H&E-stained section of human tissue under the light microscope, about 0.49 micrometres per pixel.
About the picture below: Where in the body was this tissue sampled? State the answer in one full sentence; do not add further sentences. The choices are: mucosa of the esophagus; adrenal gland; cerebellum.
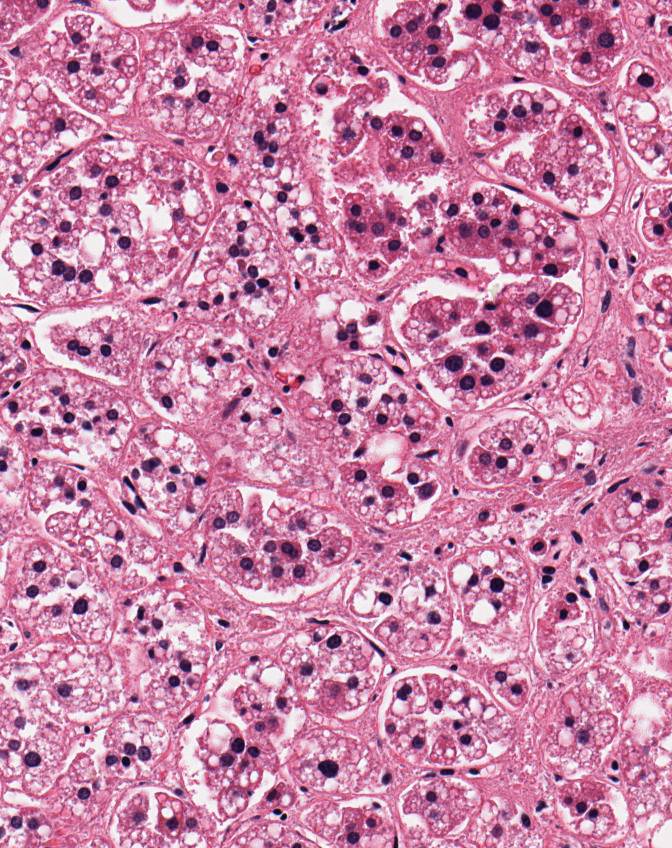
This section consists of tissue sampled from the adrenal gland.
